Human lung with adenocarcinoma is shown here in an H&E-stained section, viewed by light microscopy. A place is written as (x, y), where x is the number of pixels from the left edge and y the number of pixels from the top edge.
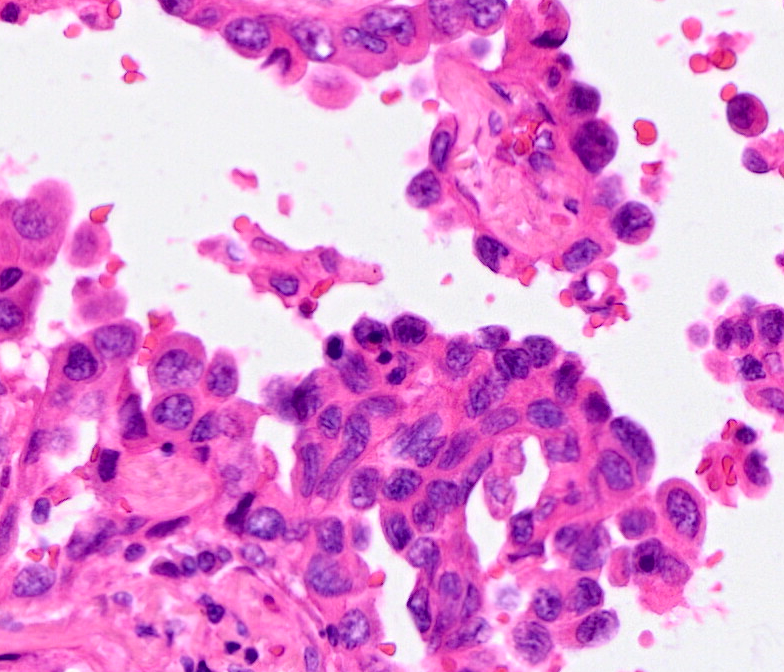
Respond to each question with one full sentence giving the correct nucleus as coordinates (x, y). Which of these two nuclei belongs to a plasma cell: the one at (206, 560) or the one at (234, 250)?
The nucleus at (206, 560) is the member of the pair belonging to a plasma cell.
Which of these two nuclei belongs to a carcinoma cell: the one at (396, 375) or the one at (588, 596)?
The nucleus at (588, 596), rather than the other, belongs to a carcinoma cell.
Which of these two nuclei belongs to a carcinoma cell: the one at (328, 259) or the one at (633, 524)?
Between the two nuclei, the one sitting at (633, 524) belongs to a carcinoma cell.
